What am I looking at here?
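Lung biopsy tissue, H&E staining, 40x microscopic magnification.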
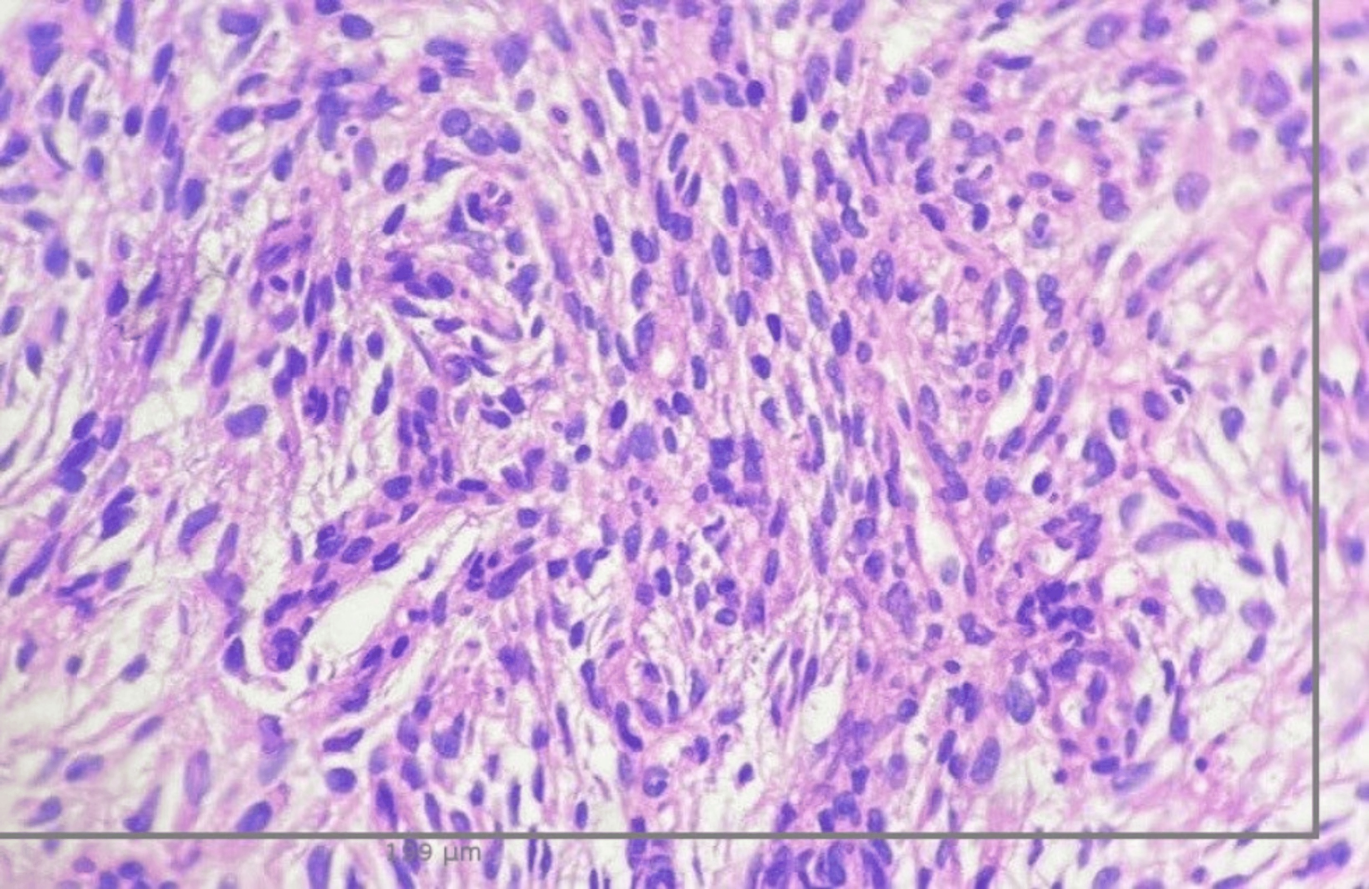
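In many places the cells are spindle-shaped, with elongated, blunt-ended, dark purple nuclei and scant pink cytoplasm. Elsewhere the nuclei are rounder to ovoid with irregular outlines and sit in paler pink cytoplasm. Loose, pale, wavy stroma lies between the groups of cells, which run in varying directions.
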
